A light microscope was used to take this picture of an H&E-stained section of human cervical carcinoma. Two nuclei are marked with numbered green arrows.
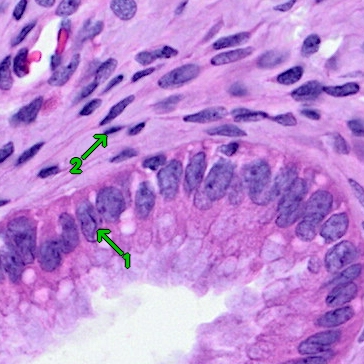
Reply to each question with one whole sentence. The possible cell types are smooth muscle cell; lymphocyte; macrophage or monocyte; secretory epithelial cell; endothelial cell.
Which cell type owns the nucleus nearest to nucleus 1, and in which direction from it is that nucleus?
The nearest nucleus is that of a secretory epithelial cell and lies below and to the left of nucleus 1.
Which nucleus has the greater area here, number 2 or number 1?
Nucleus 1 covers more area, about 4 times as much as nucleus 2.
